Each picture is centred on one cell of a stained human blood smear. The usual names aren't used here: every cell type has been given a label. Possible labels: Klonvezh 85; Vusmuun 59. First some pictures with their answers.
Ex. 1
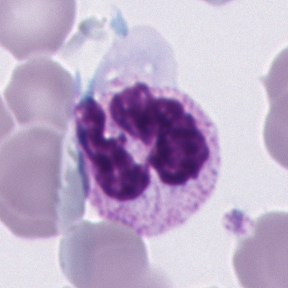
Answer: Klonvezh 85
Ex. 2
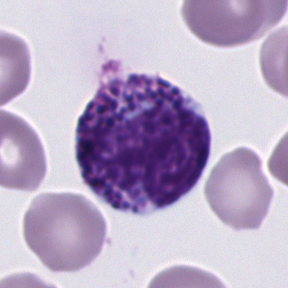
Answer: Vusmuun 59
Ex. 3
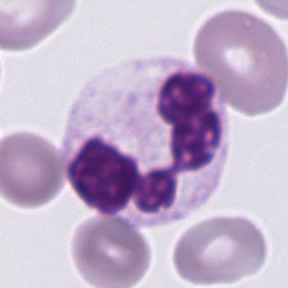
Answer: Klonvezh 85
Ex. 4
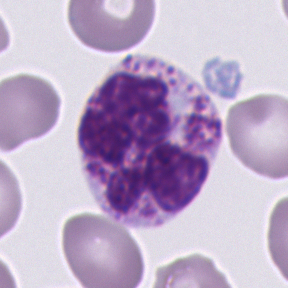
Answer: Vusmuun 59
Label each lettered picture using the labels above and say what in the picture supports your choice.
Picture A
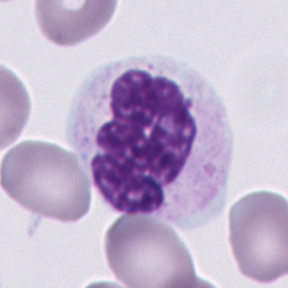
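Klonvezh 85: The cytoplasm holds fine, scattered pinkish-violet granules.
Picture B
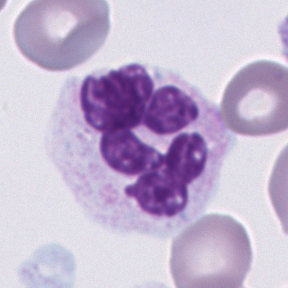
Klonvezh 85: The cytoplasm holds fine, faint pinkish-violet granules.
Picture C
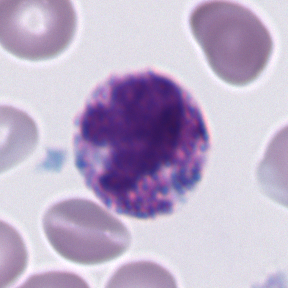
Vusmuun 59: Coarse granules are scattered through the cytoplasm.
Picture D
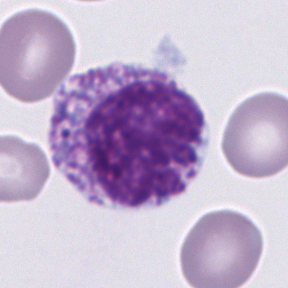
Vusmuun 59: The nucleus fills most of the cell and sits off-centre toward the right.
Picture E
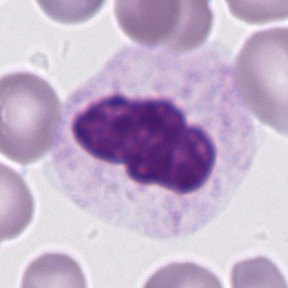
Klonvezh 85: The cytoplasm is abundant and very pale lilac-grey.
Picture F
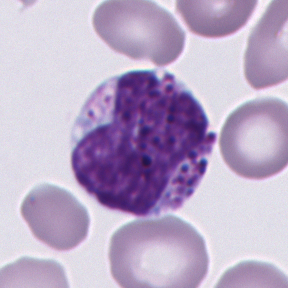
Vusmuun 59: The nucleus fills most of the cell.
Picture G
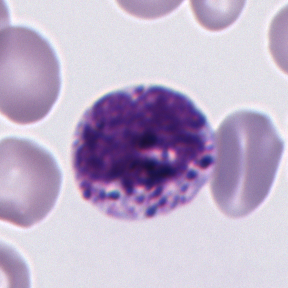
Vusmuun 59: Coarse dark blue-purple granules are scattered across the cell, lying over the nucleus as well.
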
